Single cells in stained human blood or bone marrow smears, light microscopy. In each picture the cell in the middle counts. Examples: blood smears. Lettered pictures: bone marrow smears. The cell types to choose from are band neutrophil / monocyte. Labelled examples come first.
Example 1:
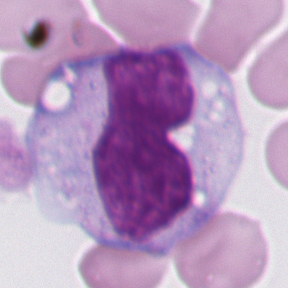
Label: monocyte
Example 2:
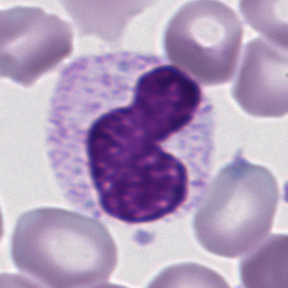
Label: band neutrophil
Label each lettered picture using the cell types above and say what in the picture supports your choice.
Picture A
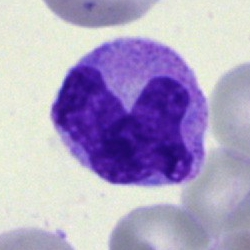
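Answer: monocyte. The nucleus takes up most of the area of the cell.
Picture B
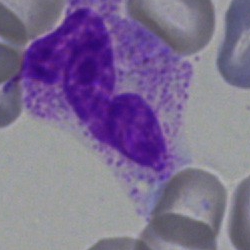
Answer: band neutrophil. The cytoplasm is abundant and pale.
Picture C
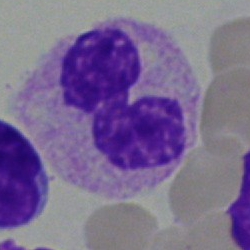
Answer: band neutrophil. The cytoplasm is abundant and pale pinkish-lilac.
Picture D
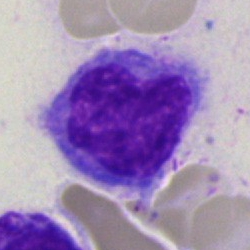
Answer: monocyte. The cytoplasm forms a narrow rim around the nucleus.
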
